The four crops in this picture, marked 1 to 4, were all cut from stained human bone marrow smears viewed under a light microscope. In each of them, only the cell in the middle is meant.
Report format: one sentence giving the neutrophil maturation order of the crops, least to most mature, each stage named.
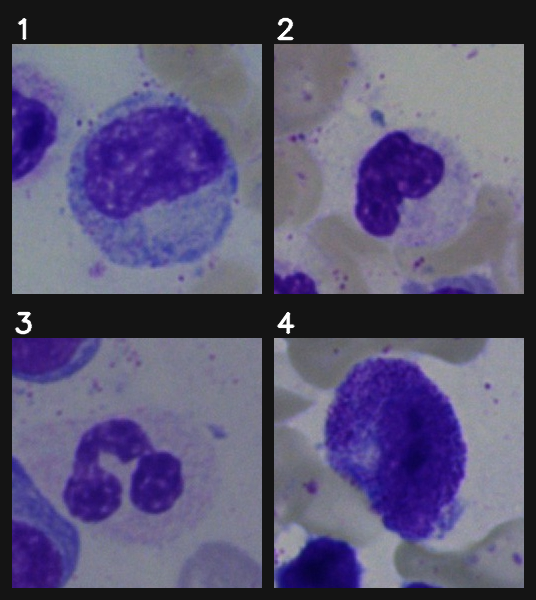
The order of maturity, beginning with the least mature, is crop 4 (a promyelocyte), crop 1 (a myelocyte), crop 2 (a band neutrophil) and crop 3 (a segmented neutrophil).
